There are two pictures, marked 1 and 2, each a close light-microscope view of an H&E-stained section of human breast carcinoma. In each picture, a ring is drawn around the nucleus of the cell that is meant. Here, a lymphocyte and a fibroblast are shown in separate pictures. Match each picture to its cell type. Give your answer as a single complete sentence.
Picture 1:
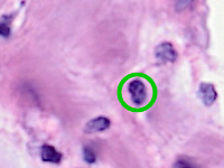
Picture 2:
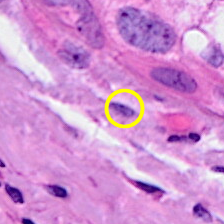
Picture 2 shows a fibroblast, while picture 1 shows a lymphocyte.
